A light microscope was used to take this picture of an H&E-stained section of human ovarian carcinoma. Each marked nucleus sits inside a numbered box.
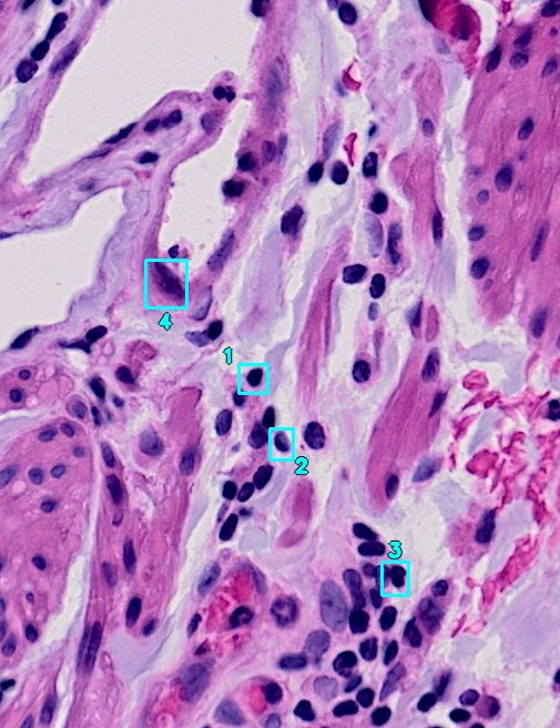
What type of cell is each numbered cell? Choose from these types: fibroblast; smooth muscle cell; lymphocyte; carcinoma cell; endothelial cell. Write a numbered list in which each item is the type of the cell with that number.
1. lymphocyte
2. lymphocyte
3. lymphocyte
4. endothelial cell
